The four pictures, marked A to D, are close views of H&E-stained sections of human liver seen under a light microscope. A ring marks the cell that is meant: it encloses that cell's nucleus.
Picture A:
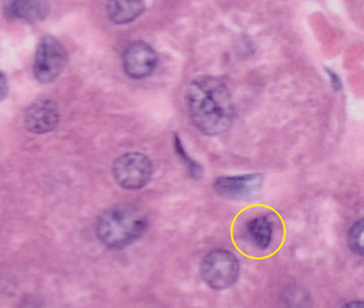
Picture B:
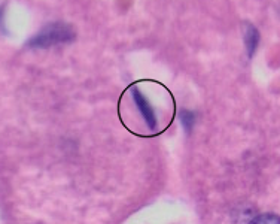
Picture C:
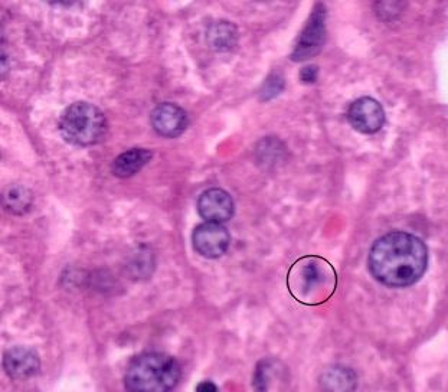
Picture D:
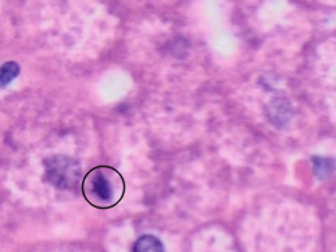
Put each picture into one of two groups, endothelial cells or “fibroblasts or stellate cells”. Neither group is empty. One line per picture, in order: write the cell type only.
fibroblast or stellate cell
endothelial cell
endothelial cell
fibroblast or stellate cell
